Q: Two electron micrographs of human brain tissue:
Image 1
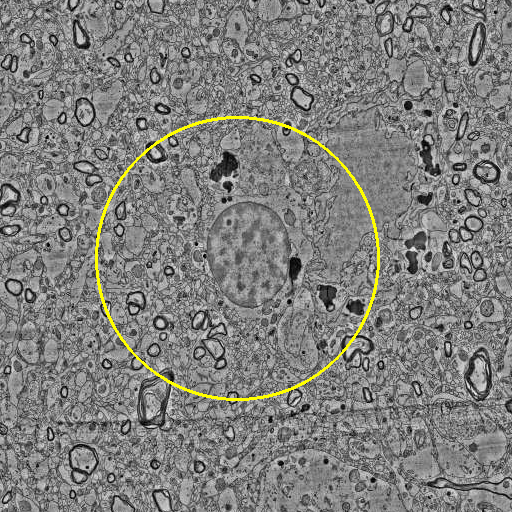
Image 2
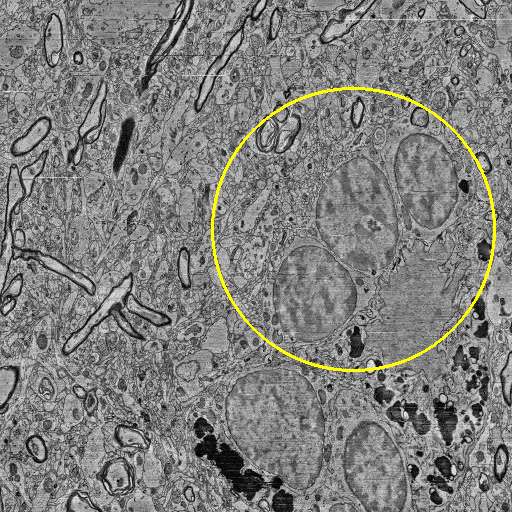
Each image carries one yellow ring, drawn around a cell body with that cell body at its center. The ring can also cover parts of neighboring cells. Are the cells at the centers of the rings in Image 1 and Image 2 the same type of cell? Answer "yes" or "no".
yes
